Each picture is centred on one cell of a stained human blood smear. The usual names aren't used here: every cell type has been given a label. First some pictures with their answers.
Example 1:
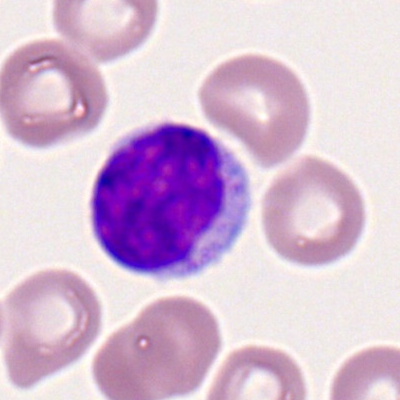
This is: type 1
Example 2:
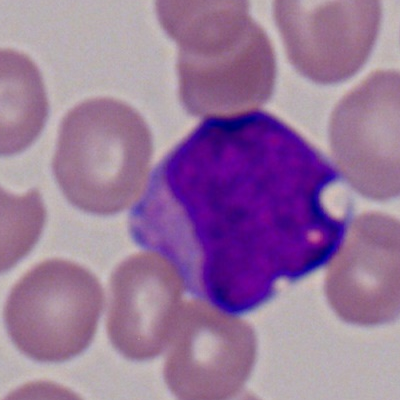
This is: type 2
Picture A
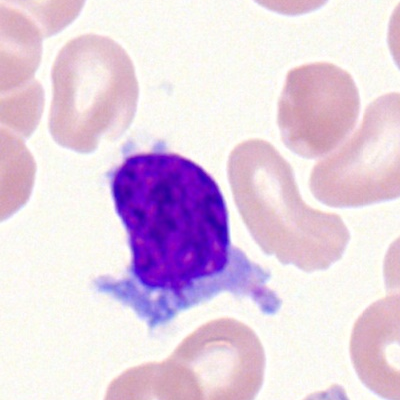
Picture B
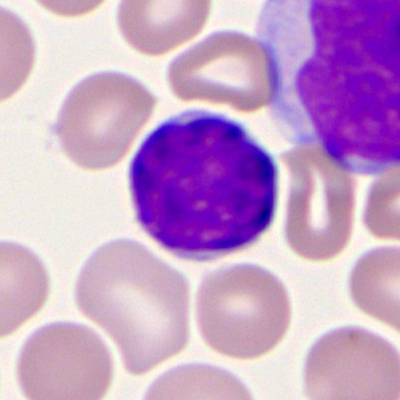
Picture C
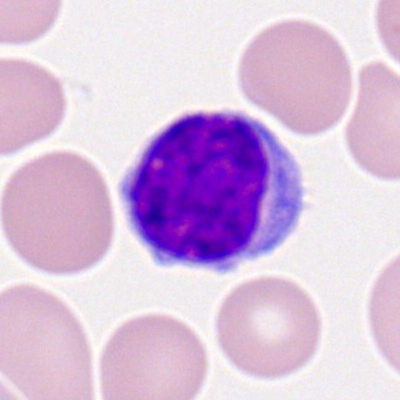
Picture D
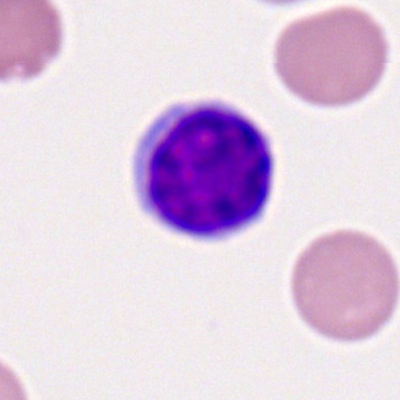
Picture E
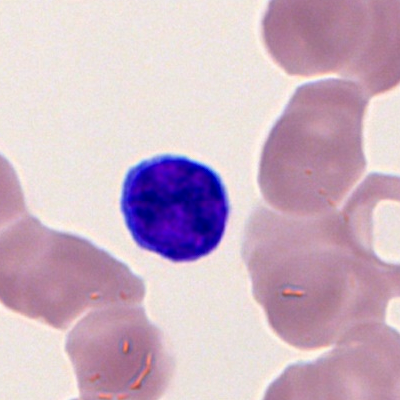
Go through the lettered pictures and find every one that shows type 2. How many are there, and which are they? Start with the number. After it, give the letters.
0, none of them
